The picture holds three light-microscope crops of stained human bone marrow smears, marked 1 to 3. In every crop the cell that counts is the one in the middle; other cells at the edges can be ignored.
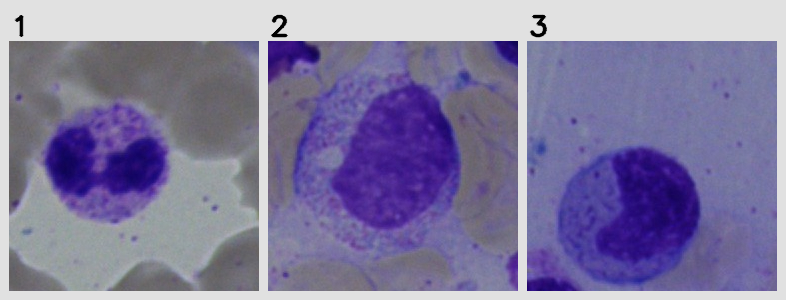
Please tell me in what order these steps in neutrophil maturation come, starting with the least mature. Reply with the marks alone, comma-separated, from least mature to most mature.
2, 3, 1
